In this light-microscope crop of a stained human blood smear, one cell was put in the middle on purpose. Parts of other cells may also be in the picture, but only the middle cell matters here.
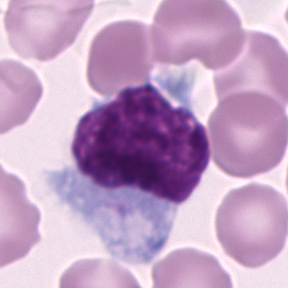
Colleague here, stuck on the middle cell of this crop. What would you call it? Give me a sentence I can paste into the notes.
Classified as a hairy cell is the cell in the middle of this crop.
